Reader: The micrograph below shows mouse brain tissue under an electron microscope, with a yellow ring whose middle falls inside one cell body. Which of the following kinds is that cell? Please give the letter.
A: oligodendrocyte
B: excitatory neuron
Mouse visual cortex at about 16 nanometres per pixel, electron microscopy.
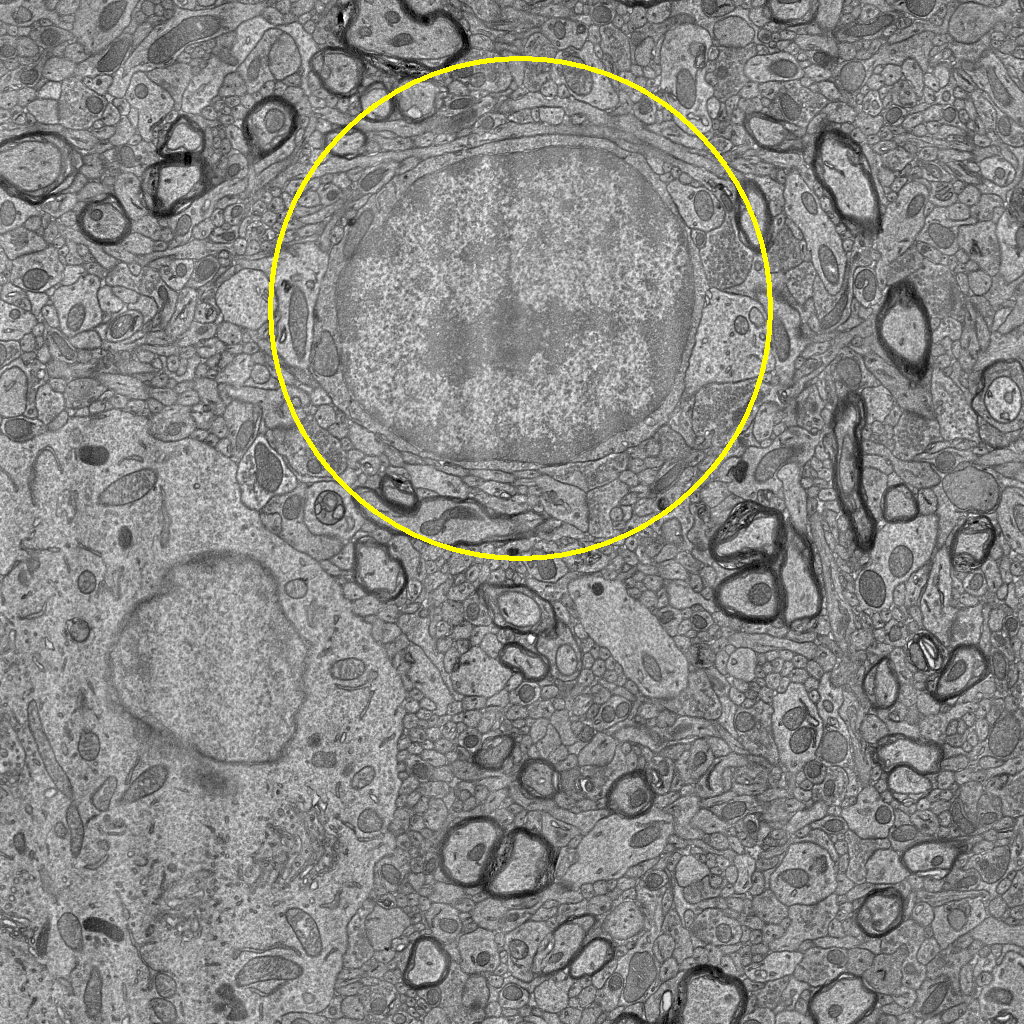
A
